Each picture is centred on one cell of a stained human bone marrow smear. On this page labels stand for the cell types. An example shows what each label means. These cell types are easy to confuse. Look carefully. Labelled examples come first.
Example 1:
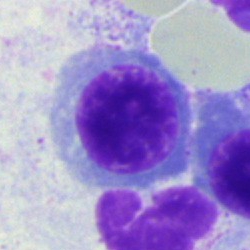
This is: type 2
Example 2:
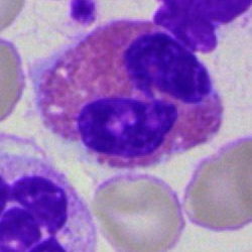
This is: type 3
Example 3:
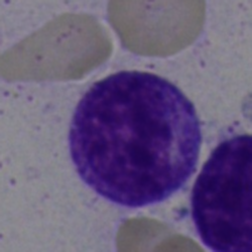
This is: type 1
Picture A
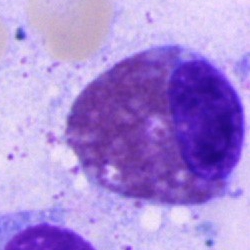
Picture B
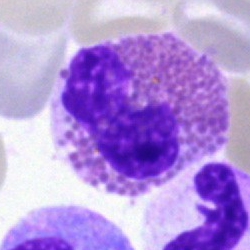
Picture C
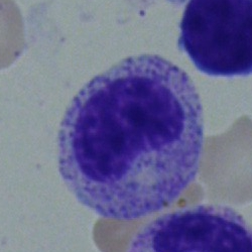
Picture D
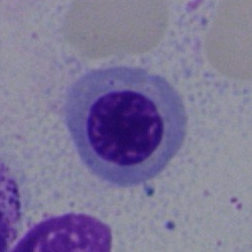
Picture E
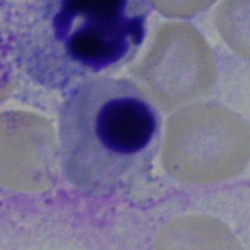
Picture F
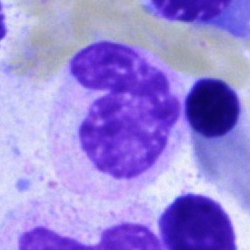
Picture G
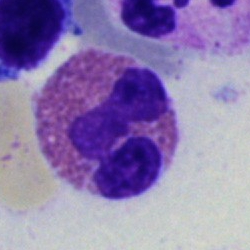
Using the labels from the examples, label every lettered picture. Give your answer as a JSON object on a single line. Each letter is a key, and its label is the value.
{"A": "type 3", "B": "type 3", "C": "type 1", "D": "type 2", "E": "type 2", "F": "type 1", "G": "type 3"}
